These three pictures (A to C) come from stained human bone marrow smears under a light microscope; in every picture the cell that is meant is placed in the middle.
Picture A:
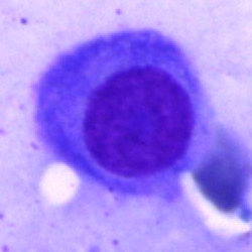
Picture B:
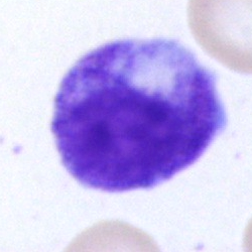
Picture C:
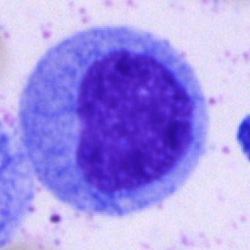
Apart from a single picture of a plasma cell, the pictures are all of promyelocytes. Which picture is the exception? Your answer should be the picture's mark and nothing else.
A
